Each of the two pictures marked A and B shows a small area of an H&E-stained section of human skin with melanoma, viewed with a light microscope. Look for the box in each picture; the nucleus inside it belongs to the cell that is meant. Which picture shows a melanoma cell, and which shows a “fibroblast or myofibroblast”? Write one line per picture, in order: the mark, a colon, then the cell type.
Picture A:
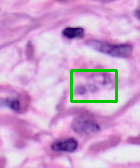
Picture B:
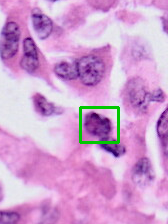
A: fibroblast or myofibroblast
B: melanoma cell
